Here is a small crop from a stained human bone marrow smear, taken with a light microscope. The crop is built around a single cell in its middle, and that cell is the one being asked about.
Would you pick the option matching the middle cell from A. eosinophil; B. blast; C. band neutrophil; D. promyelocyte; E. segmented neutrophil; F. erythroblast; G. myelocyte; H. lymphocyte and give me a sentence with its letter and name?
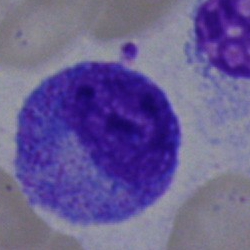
Option D holds, for the cell in the middle is a promyelocyte.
